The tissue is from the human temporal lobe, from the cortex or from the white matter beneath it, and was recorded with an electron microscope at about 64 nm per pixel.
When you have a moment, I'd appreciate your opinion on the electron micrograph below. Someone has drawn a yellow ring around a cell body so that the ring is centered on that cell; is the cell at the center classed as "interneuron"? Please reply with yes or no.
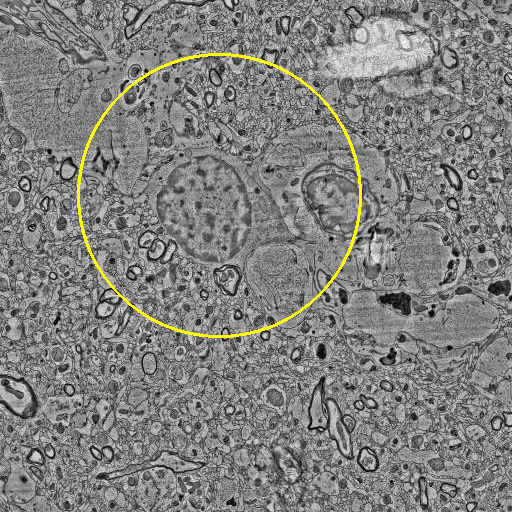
No, that cell belongs to another kind.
